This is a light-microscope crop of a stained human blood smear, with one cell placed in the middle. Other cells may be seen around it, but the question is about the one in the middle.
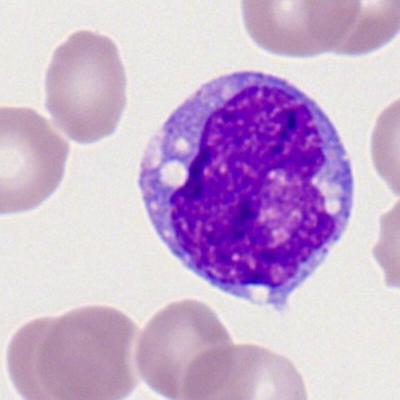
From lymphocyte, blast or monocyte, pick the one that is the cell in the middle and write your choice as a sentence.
In this crop, the cell at the very middle is a monocyte.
